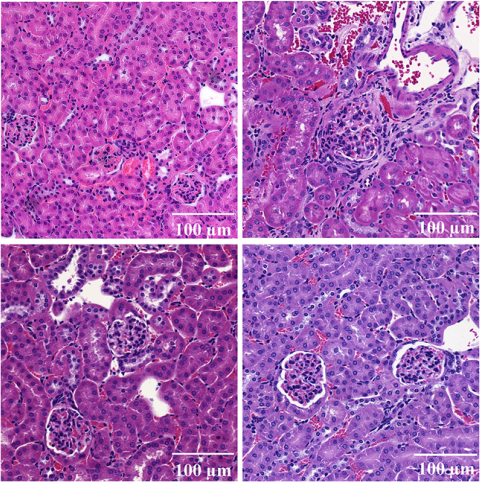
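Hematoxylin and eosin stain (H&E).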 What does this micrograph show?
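Four fields of kidney cortex show round glomeruli set among many cross-cut tubules. The tubules are lined by cuboidal cells with pink cytoplasm and round purple nuclei around small lumina. In three fields the glomeruli are compact capillary tufts surrounded by a clear space within the capsule, and the tissue between tubules is thin. Masses of red blood cells fill a vessel and the neighbouring space near the top of this field. The tubules there look less orderly.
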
